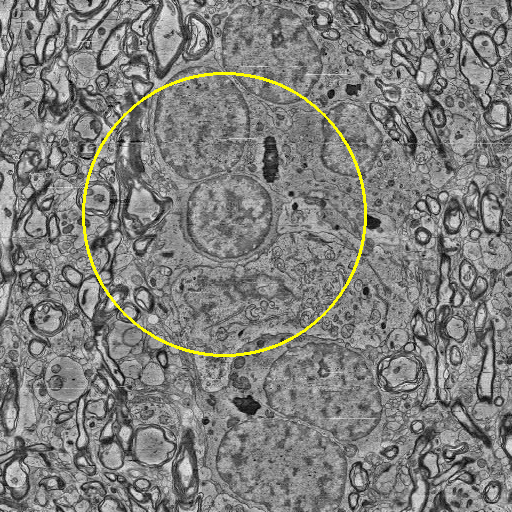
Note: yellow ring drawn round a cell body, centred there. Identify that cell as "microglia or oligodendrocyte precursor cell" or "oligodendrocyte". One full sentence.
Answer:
The cell in the middle of the ring is an oligodendrocyte.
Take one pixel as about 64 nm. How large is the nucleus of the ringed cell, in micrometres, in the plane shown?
Roughly 6 micrometres across, measured in this plane.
